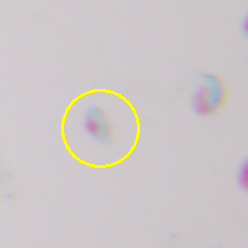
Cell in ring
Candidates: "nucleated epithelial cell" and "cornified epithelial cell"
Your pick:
nucleated epithelial cell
